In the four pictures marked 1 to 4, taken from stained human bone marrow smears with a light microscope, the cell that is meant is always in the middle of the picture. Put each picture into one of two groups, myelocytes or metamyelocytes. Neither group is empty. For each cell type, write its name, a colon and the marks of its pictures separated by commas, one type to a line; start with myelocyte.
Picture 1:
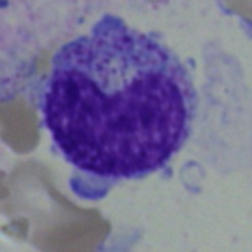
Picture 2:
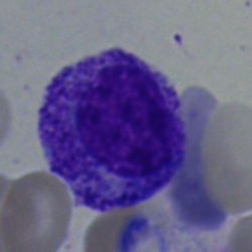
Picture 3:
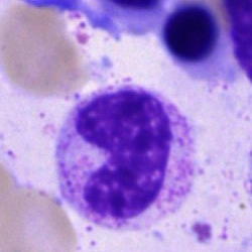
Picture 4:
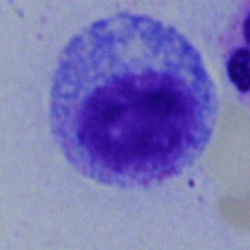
myelocyte: 2, 4
metamyelocyte: 1, 3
